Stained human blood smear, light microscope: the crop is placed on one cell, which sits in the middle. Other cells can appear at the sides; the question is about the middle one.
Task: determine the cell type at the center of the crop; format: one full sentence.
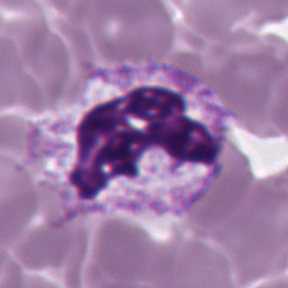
The central cell in this smear crop is a segmented neutrophil.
